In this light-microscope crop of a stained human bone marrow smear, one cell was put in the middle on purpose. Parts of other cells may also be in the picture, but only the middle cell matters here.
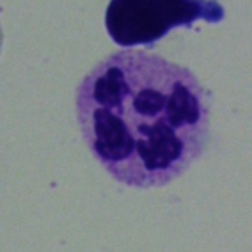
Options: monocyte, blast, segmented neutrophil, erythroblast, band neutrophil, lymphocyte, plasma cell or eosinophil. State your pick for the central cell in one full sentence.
The cell at the central position in this crop is a segmented neutrophil.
